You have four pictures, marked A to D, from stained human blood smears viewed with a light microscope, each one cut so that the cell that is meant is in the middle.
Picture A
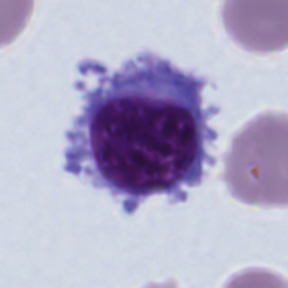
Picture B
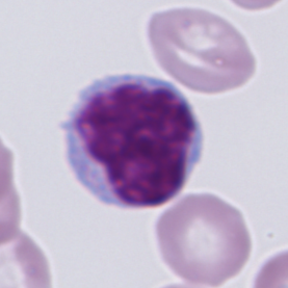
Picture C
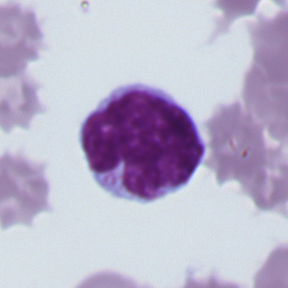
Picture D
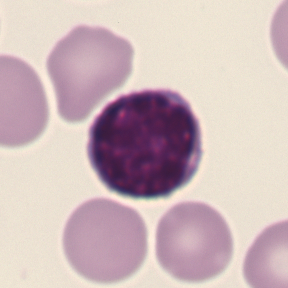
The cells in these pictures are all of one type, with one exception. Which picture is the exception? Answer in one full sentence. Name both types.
All pictures except A show typical lymphocytes; picture A shows a plasma cell.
